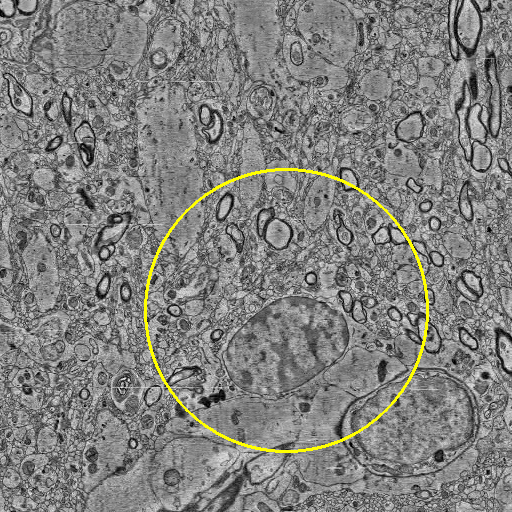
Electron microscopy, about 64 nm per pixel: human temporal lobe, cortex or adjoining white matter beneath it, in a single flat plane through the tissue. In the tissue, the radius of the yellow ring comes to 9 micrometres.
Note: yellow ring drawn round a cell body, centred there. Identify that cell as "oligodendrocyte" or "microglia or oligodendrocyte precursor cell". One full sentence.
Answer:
The cell in the middle of the ring is a microglial cell or oligodendrocyte precursor cell.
